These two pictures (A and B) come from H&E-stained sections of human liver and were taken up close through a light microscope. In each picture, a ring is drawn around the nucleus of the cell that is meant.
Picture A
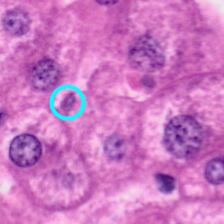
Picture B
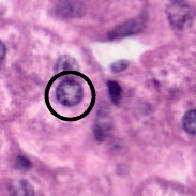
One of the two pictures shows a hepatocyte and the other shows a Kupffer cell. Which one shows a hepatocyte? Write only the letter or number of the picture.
B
